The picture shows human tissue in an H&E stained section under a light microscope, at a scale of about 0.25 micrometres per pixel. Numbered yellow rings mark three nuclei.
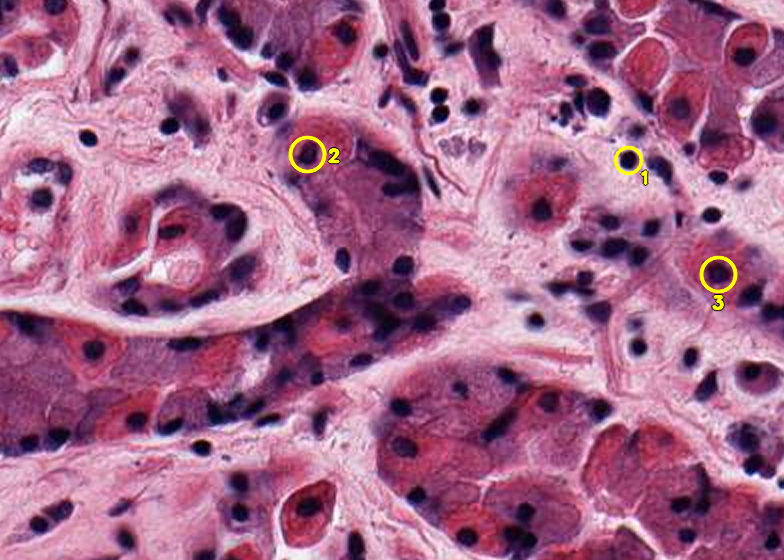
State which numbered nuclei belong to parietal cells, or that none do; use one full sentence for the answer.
What the nuclei numbered 2 and 3 belong to are parietal cells.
